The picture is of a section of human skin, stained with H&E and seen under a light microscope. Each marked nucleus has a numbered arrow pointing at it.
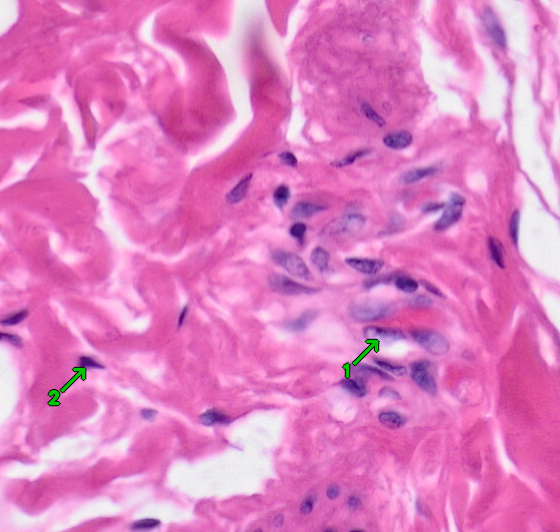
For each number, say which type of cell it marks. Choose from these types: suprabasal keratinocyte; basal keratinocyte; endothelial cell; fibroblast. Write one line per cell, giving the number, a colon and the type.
1: endothelial cell
2: fibroblast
